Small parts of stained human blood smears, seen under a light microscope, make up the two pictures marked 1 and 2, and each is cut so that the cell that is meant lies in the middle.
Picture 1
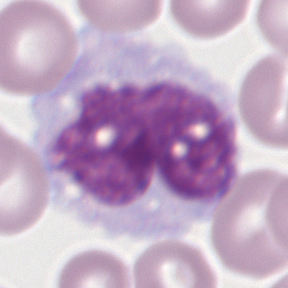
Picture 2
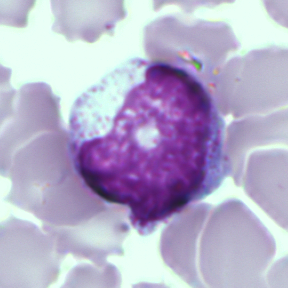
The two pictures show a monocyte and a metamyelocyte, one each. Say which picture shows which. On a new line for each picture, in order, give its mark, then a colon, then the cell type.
1: monocyte
2: metamyelocyte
